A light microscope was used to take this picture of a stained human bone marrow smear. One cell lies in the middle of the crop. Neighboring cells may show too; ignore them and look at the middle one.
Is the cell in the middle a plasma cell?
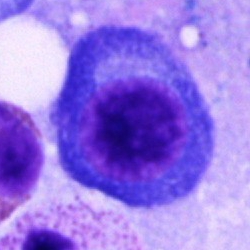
yes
